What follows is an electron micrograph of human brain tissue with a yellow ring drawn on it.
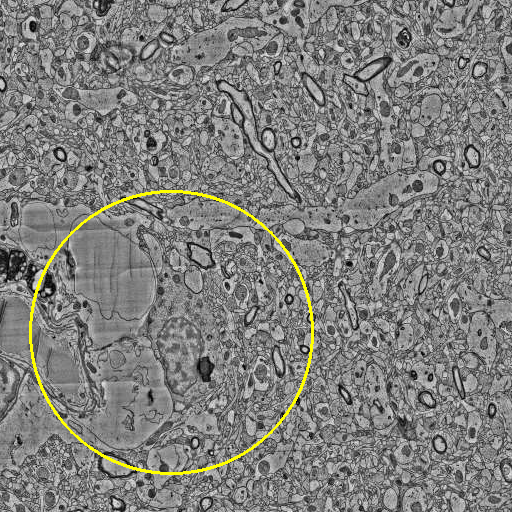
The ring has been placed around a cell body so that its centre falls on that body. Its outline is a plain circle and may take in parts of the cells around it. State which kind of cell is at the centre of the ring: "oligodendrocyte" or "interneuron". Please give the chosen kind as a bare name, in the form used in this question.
oligodendrocyte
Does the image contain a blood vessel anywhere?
Yes, the picture includes a blood vessel.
